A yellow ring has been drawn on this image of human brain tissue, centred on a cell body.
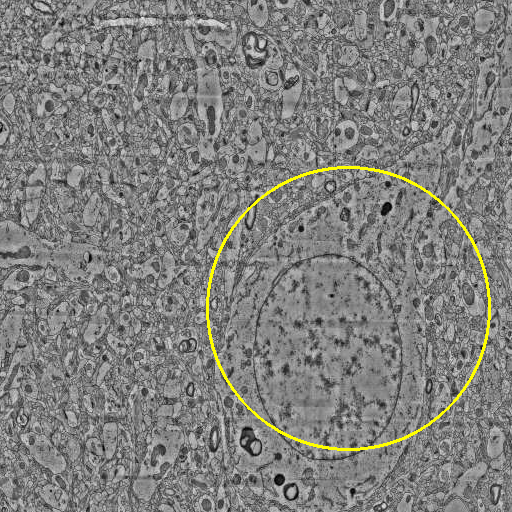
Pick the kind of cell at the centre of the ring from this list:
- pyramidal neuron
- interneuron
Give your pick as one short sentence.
The centre of the ring holds a pyramidal neuron.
